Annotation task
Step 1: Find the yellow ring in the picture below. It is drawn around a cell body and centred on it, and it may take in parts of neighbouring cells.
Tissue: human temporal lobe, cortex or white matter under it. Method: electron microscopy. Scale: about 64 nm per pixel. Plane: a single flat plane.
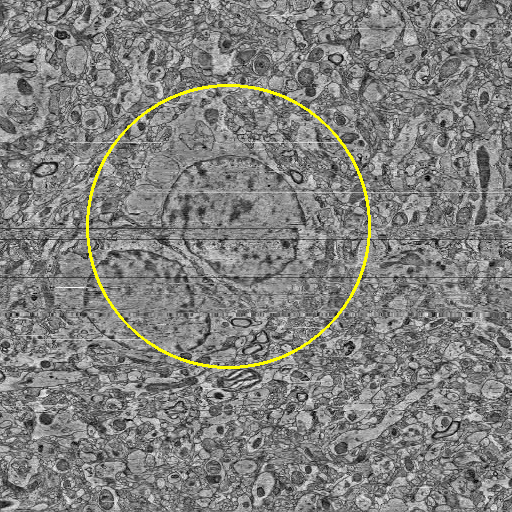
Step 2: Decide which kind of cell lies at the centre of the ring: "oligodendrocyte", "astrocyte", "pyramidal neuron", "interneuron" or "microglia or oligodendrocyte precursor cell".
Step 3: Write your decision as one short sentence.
The kind of cell at the ring's centre is an astrocyte.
